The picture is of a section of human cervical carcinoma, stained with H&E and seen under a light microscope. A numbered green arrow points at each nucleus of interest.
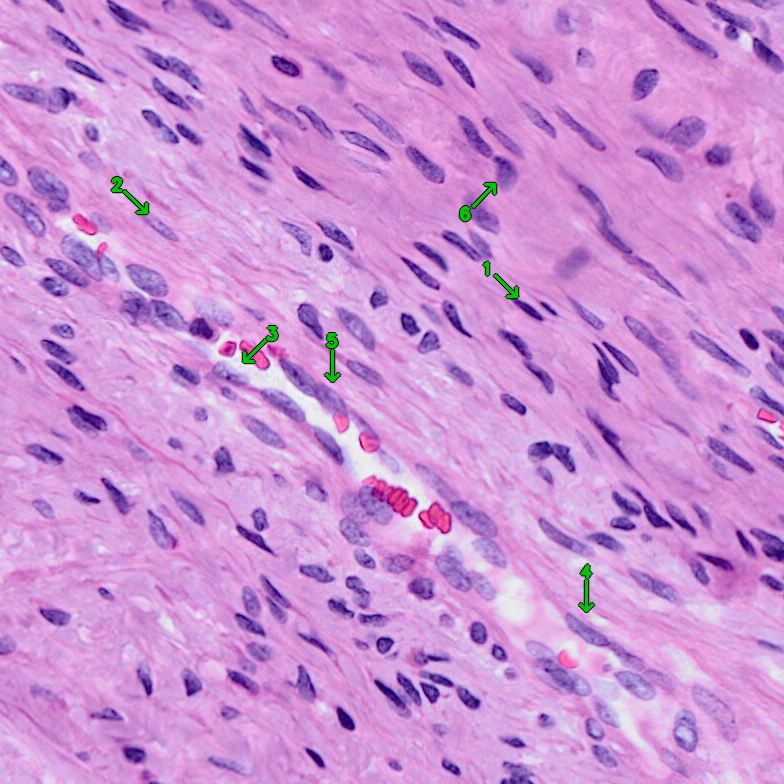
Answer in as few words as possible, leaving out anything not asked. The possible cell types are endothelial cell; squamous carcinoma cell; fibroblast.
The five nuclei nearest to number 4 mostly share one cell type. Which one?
endothelial cell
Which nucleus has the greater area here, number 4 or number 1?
4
